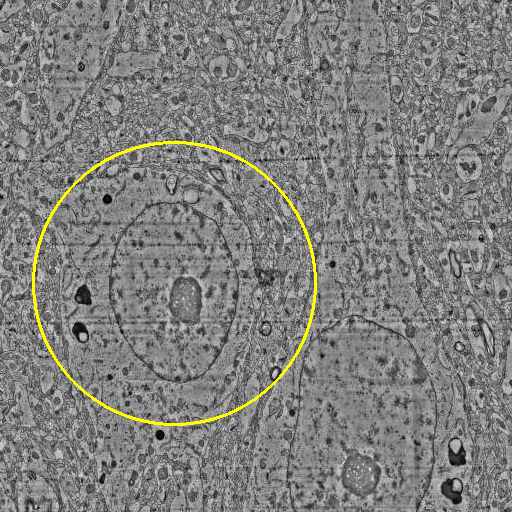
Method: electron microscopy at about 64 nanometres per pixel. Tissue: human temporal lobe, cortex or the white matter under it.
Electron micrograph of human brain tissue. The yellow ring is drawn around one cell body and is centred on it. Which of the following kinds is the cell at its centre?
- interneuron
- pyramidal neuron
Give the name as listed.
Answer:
pyramidal neuron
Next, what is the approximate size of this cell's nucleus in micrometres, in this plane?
In this plane, roughly 11 by 8 micrometres.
